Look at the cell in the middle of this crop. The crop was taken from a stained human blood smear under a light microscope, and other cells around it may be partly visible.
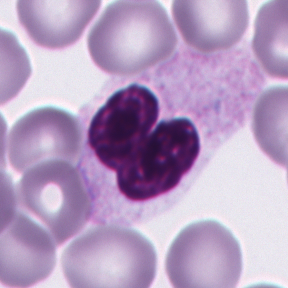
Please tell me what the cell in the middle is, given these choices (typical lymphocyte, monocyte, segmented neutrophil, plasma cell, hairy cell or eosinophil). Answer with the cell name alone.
segmented neutrophil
